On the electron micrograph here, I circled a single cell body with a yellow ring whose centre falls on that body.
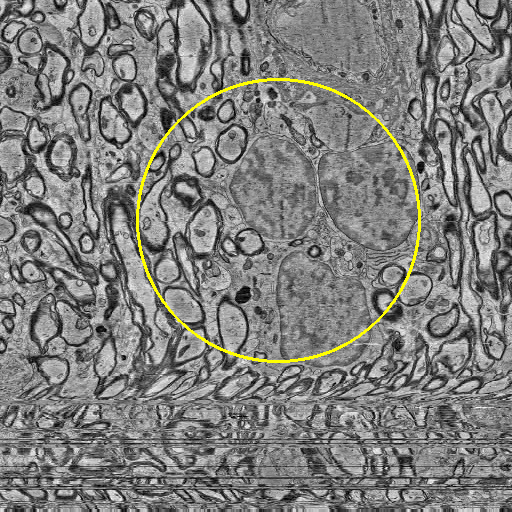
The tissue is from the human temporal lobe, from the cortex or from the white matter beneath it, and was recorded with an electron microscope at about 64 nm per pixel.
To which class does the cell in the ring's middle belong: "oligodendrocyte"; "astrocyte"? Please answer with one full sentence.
In this picture, the cell body circled at the ring's centre belongs to an oligodendrocyte.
